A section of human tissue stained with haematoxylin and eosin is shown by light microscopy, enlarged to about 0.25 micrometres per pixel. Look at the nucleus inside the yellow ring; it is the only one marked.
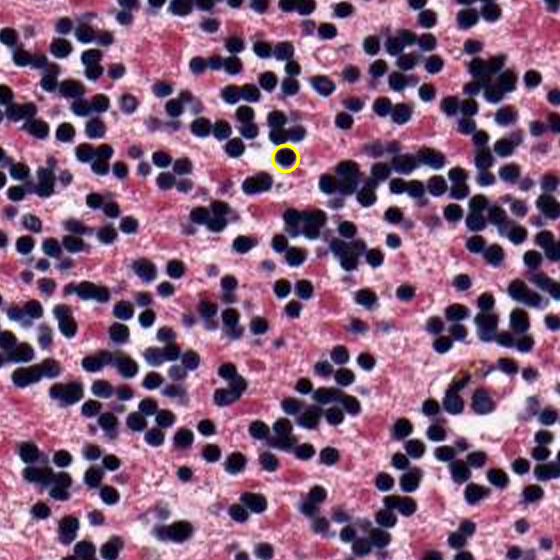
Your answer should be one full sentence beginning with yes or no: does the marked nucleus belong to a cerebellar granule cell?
Yes, the marked nucleus belongs to a cerebellar granule cell in this field.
